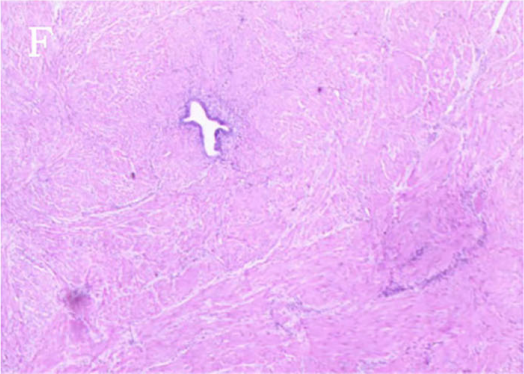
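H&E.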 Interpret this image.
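This is a low-power view of smooth muscle tissue in pink, interlacing bundles, with a small gland at the center whose open lumen is irregular and branching. The gland is surrounded by a cuff of denser, more cellular purple stroma, and further purple cellular foci appear at the lower left and lower right, embedded within the muscle.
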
